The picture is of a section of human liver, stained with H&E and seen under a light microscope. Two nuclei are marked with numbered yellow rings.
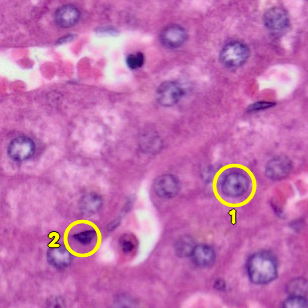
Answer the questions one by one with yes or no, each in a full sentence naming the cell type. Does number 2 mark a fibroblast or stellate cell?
Yes, number 2 marks a cell that is a fibroblast or stellate cell.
